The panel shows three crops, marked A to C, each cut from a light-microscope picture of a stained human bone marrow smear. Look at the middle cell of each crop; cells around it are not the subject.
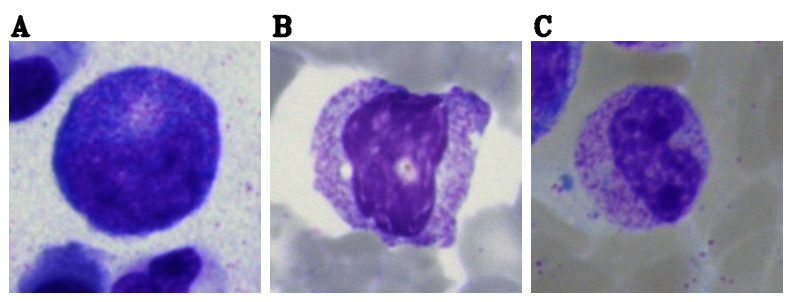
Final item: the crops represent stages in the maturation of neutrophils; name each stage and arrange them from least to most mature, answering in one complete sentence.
Arranged by increasing maturity, the sequence is crop A (a promyelocyte), crop B (a myelocyte) and crop C (a band neutrophil).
